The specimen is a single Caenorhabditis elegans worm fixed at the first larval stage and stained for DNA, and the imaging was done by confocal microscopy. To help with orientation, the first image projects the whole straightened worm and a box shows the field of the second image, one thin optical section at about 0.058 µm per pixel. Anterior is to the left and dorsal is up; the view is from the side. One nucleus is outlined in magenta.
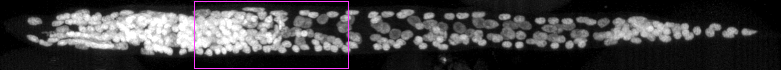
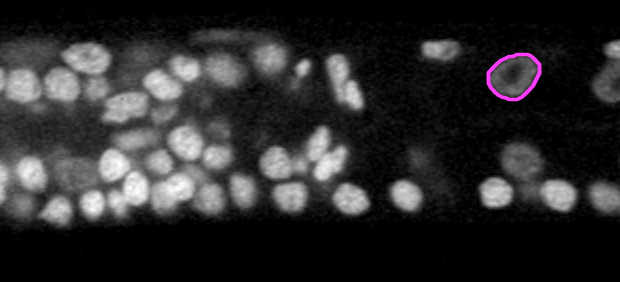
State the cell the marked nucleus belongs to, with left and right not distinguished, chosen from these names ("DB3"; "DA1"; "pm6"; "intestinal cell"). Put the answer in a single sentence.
It belongs to an intestinal cell.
